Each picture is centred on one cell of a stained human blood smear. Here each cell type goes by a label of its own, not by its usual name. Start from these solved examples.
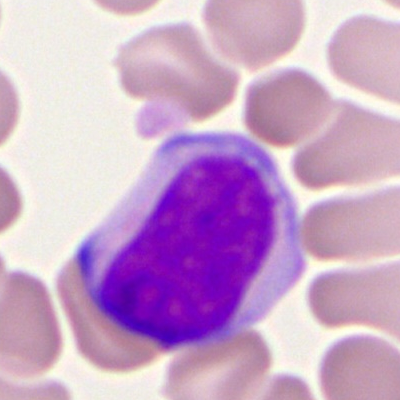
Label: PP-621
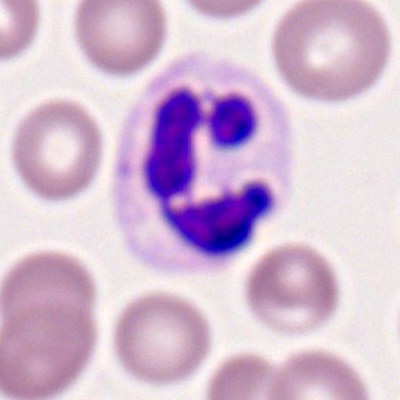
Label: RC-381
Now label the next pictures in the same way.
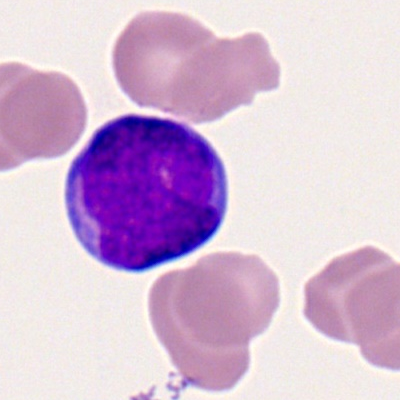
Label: PP-621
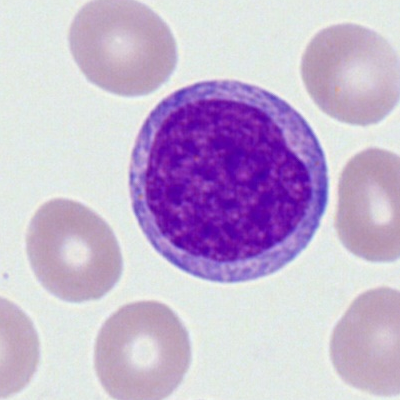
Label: PP-621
